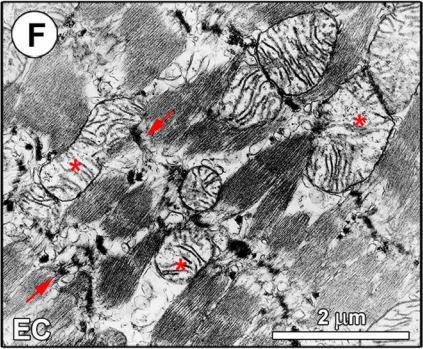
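Electron micrograph of skeletal muscle fibers in which the myofibrils are broken up and run at odd angles rather than in neat, aligned sarcomeres. The Z-lines are fragmented into scattered dark clumps, and the enlarged, rounded mitochondria between the myofibrils have irregular, sparse cristae with pale spaces.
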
